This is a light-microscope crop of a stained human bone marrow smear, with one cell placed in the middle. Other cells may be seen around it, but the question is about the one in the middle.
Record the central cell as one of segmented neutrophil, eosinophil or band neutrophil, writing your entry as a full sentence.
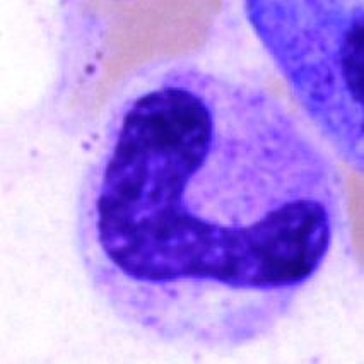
Answering briefly, the cell in the middle is a band neutrophil.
